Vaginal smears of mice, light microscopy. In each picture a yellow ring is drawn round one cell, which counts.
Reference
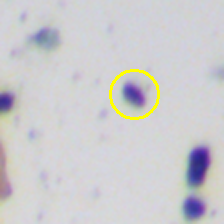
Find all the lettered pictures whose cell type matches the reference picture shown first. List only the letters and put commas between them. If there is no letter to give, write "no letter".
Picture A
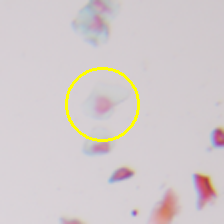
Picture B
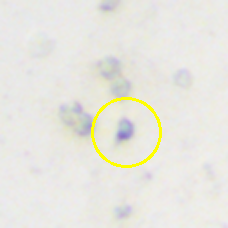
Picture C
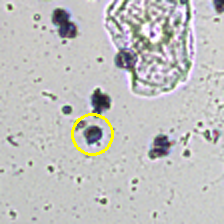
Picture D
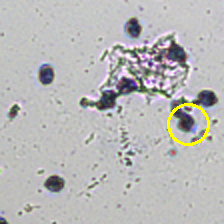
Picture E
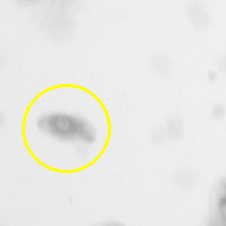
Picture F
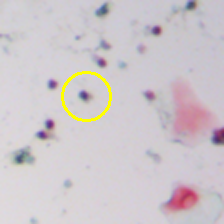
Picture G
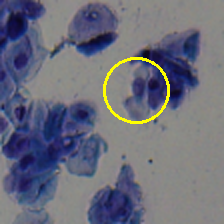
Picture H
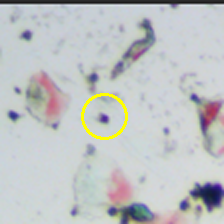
B, C, D, F, H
